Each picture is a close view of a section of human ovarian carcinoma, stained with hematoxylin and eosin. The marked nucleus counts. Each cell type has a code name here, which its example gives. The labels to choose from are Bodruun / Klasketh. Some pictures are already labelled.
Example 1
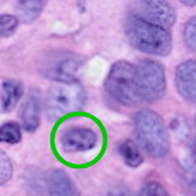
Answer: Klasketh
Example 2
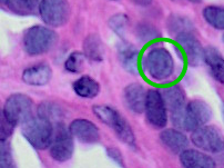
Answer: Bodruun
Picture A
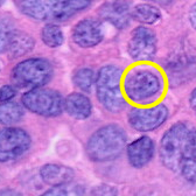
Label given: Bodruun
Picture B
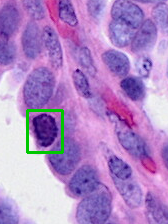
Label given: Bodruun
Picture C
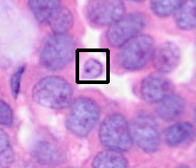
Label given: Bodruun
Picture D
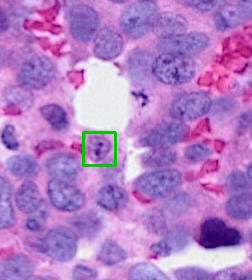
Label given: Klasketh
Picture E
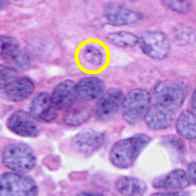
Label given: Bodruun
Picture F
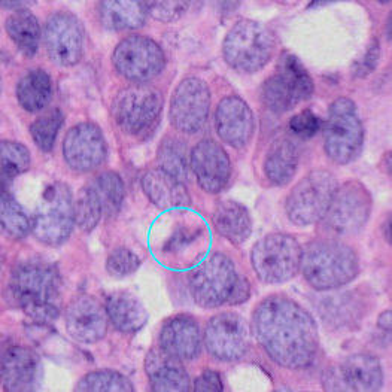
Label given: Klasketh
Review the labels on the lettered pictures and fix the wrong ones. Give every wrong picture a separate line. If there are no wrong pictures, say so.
C: not Bodruun but Klasketh
E: not Bodruun but Klasketh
